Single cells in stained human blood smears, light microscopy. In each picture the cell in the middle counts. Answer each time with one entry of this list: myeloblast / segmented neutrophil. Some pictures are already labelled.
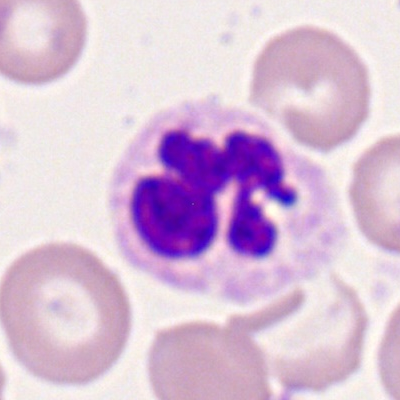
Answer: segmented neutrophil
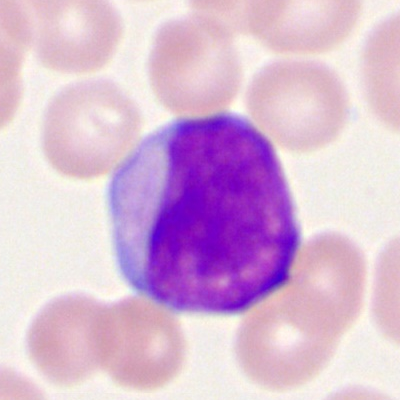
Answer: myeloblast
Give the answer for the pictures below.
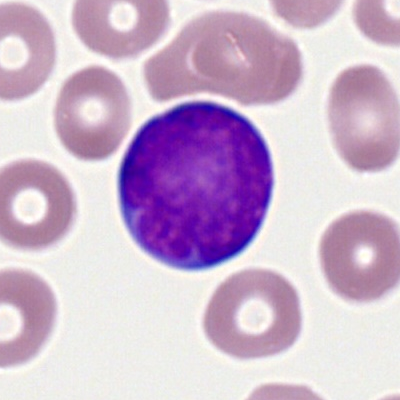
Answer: myeloblast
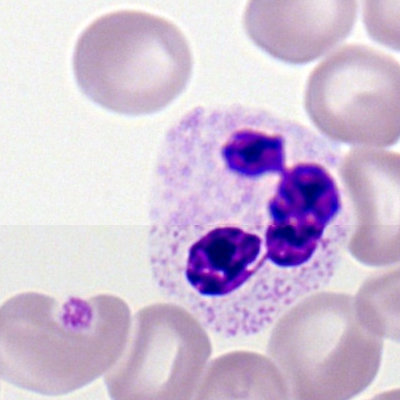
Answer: segmented neutrophil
